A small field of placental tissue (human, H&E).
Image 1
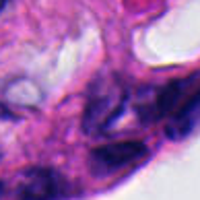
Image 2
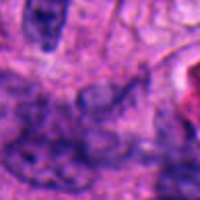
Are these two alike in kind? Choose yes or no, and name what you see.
Yes. Cytotrophoblasts.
